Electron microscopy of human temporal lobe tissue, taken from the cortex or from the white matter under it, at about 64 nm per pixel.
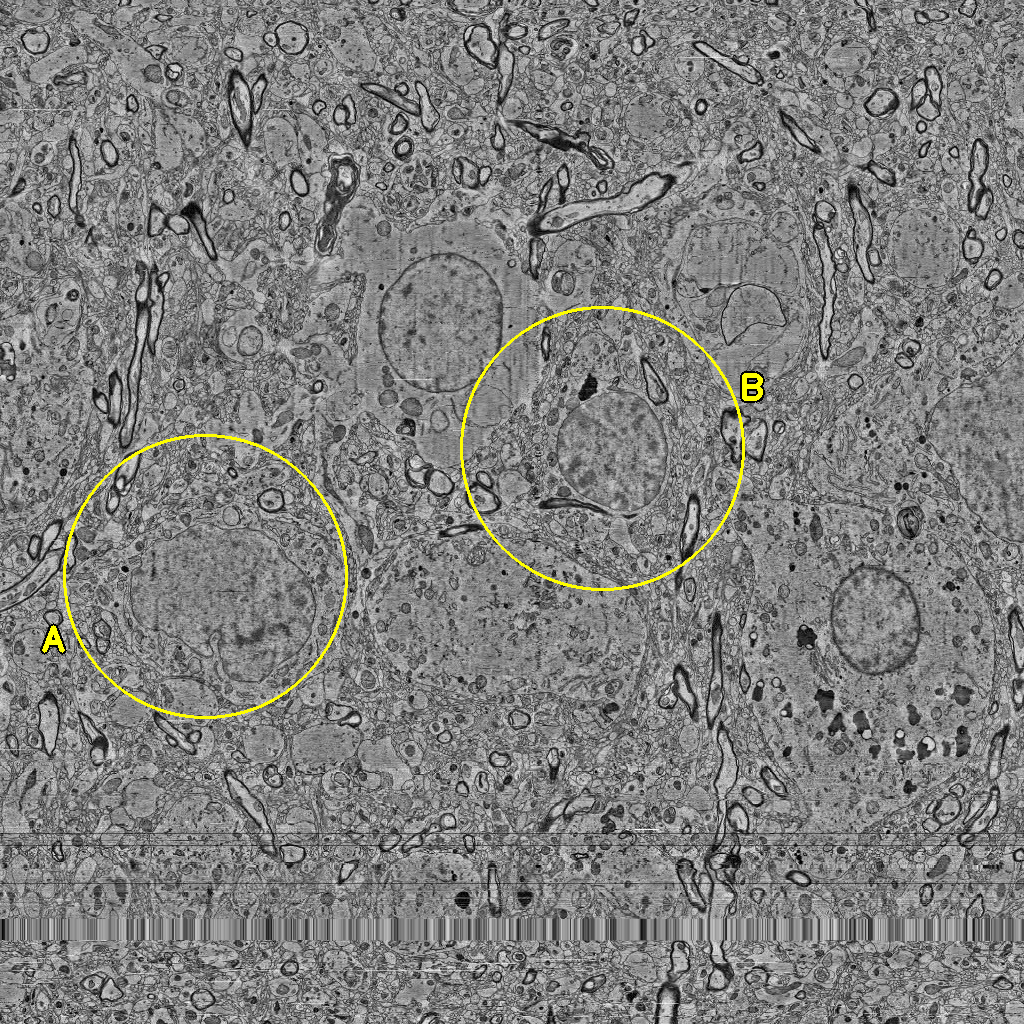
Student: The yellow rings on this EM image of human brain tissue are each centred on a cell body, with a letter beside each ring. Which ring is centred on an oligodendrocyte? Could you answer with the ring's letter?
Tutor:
B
